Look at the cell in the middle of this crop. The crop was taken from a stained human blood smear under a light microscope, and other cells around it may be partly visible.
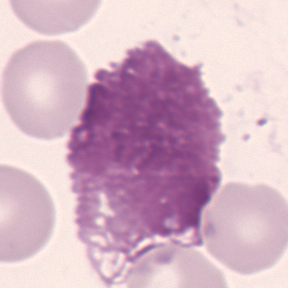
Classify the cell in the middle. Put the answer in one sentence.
The centrally located cell in the crop is a smudge cell.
